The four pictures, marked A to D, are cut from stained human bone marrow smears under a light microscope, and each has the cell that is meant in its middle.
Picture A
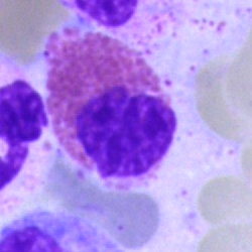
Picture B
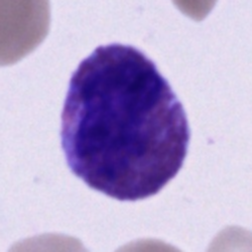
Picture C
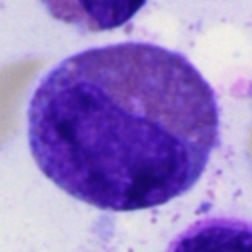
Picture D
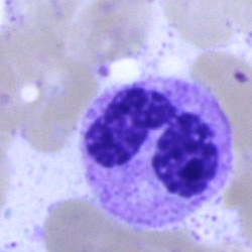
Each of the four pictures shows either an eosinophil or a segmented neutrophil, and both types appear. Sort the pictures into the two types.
A: eosinophil
B: eosinophil
C: eosinophil
D: segmented neutrophil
